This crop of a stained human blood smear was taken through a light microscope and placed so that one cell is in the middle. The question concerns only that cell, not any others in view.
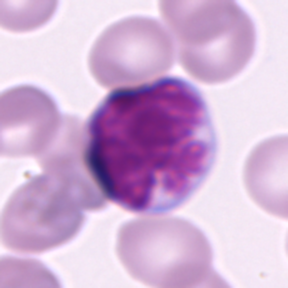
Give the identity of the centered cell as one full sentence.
The cell occupying the middle of the crop is a large granular lymphocyte.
